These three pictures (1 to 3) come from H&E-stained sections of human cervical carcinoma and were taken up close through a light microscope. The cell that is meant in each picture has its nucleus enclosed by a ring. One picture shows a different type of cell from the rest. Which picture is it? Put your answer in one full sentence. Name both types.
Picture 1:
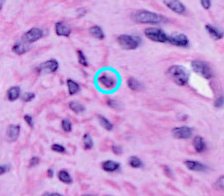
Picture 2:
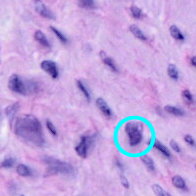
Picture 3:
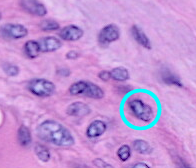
Picture 2 is the odd one out: it shows a fibroblast, while the others show smooth muscle cells.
